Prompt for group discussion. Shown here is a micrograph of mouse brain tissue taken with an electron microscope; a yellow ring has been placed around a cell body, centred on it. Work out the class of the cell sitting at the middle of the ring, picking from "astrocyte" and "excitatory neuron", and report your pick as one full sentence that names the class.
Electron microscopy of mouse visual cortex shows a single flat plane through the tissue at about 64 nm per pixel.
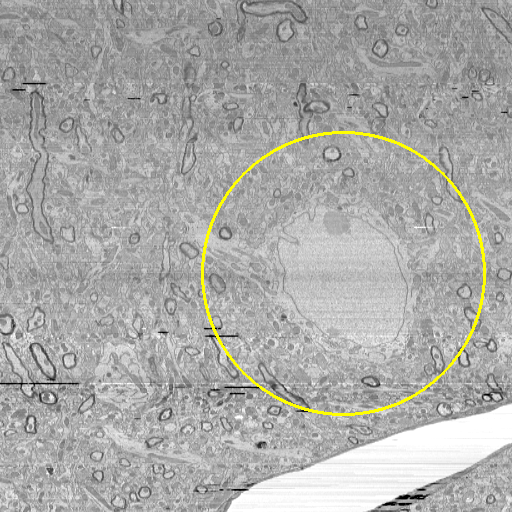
The cell sitting at the middle of the yellow ring is an excitatory neuron.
